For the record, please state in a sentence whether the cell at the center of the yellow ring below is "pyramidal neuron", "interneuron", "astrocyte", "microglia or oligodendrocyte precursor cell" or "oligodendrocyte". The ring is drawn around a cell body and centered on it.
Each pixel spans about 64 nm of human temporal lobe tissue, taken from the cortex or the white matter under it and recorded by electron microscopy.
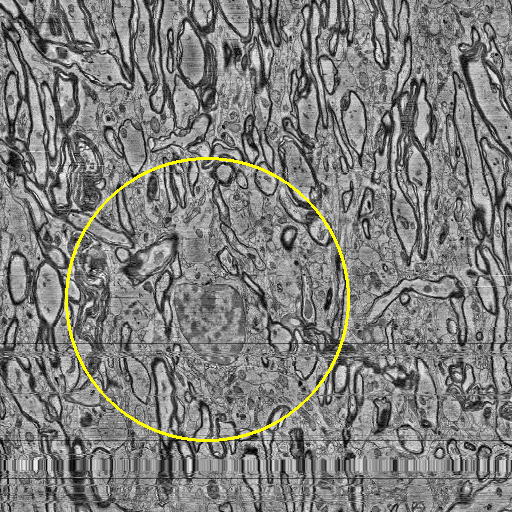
The cell at the ring's center is a microglial cell or oligodendrocyte precursor cell.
